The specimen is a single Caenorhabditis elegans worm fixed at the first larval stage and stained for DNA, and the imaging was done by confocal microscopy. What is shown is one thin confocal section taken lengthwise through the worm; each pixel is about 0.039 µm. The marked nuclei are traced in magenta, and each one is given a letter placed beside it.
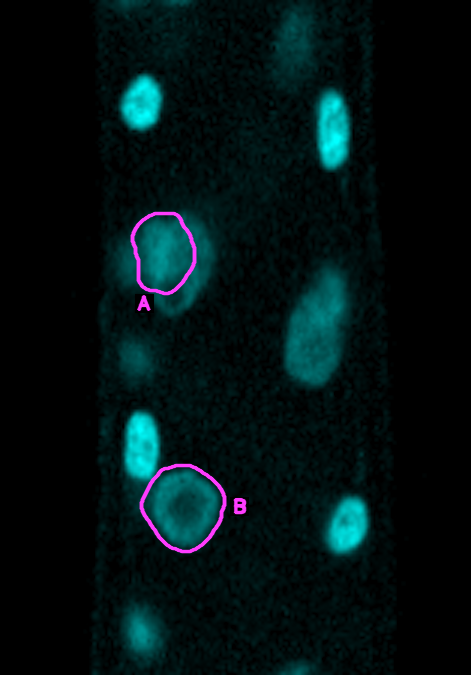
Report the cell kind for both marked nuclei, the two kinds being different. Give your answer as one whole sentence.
One is from a body wall muscle cell, namely A, and the other, B, is from an intestinal cell.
